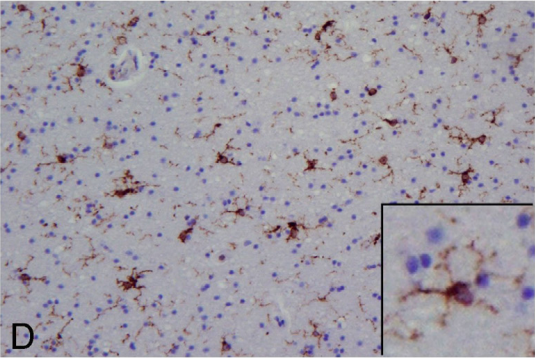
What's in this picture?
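White matter with many brown-stained microglia scattered among numerous small round blue nuclei. The stained cells have small bodies from which thin, branching processes extend in several directions. Some cells appear more darkly stained with somewhat thicker processes, but most remain clearly ramified and separate from one another. The inset shows a single cell with a small dark body and long slender processes, next to unstained blue nuclei.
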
